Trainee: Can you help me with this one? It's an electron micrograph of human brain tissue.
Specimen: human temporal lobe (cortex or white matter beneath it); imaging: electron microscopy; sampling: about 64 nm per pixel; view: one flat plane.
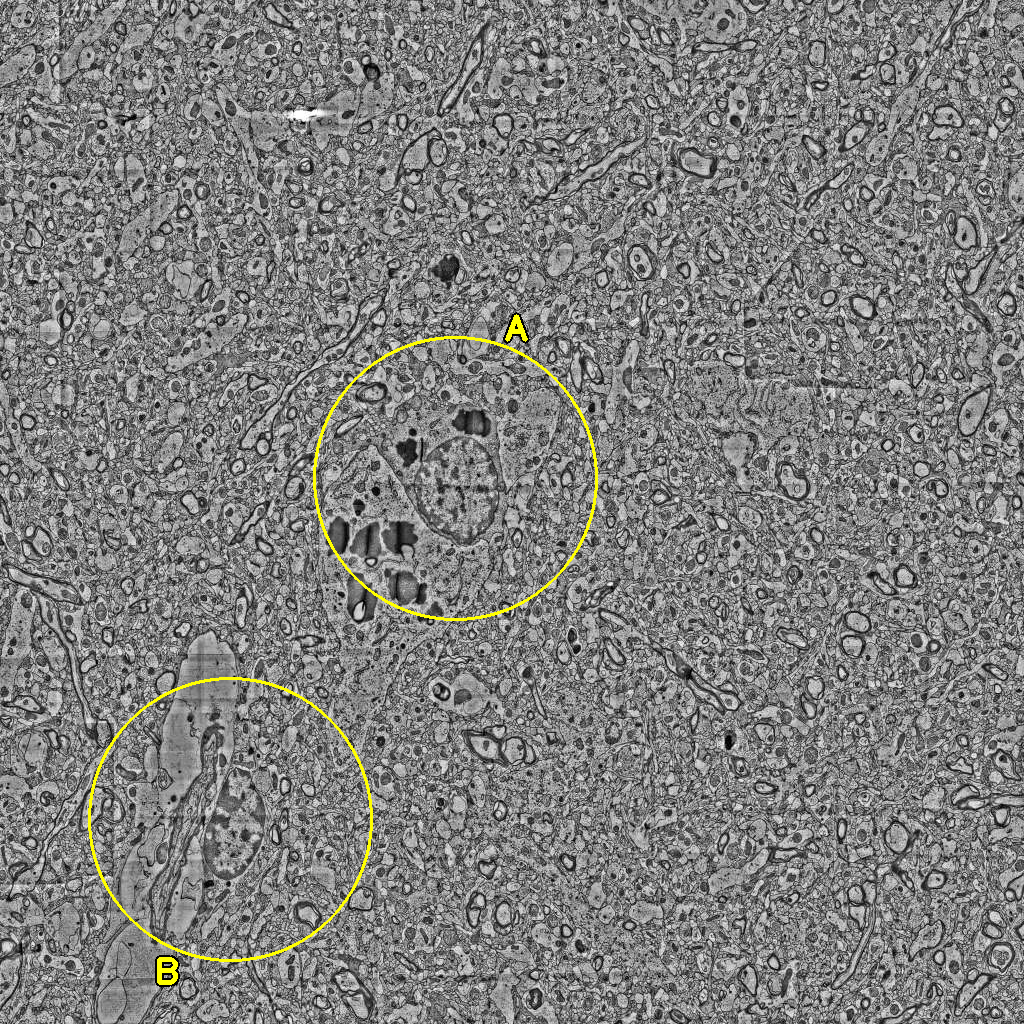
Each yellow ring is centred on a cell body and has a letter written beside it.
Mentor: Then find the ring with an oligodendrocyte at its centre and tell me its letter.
A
